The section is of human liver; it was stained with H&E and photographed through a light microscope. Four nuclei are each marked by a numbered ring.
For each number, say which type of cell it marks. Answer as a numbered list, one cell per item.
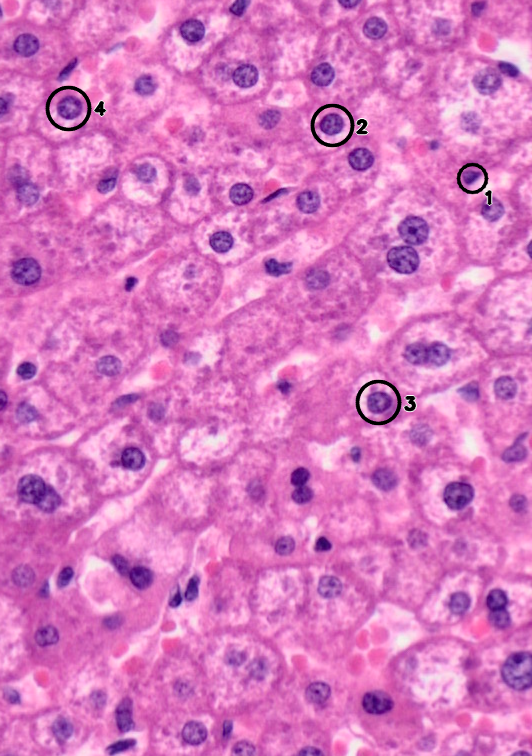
1. fibroblast or stellate cell
2. hepatocyte
3. hepatocyte
4. hepatocyte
